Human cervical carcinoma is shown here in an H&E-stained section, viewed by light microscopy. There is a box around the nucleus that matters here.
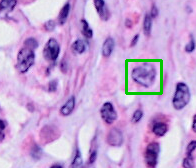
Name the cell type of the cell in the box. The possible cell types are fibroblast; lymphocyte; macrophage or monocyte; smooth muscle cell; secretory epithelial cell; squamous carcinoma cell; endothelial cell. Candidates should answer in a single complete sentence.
To be brief about it, the cell in the box is a macrophage or monocyte.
